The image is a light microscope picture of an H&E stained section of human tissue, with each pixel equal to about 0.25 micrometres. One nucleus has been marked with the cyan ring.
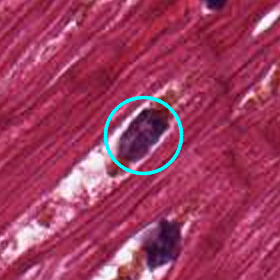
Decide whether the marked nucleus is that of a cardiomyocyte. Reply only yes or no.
yes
